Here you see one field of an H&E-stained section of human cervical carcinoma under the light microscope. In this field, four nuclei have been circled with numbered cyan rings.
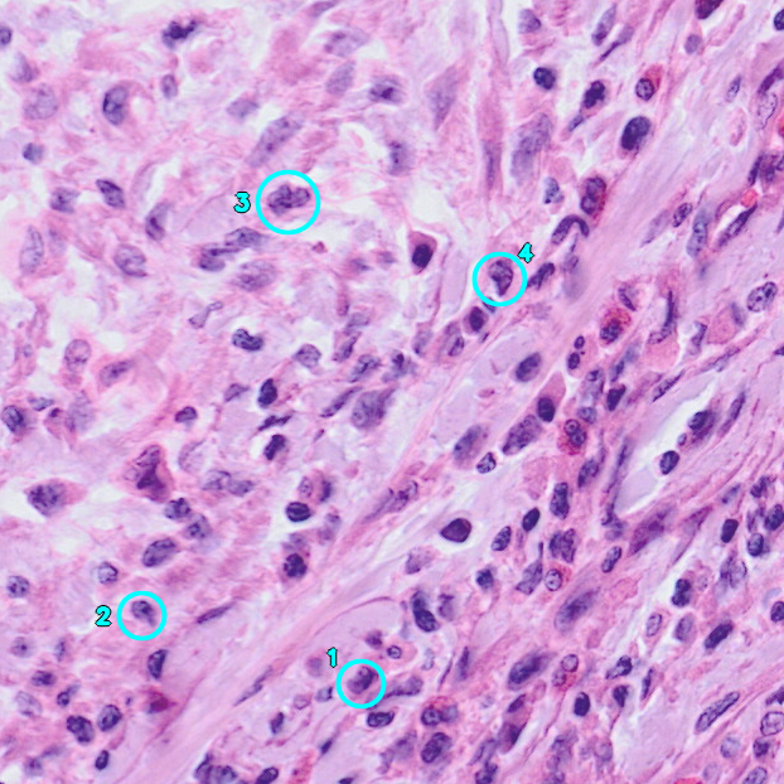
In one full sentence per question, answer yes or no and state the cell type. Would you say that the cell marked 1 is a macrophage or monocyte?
Yes, the cell at marker 1 is a macrophage or monocyte.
